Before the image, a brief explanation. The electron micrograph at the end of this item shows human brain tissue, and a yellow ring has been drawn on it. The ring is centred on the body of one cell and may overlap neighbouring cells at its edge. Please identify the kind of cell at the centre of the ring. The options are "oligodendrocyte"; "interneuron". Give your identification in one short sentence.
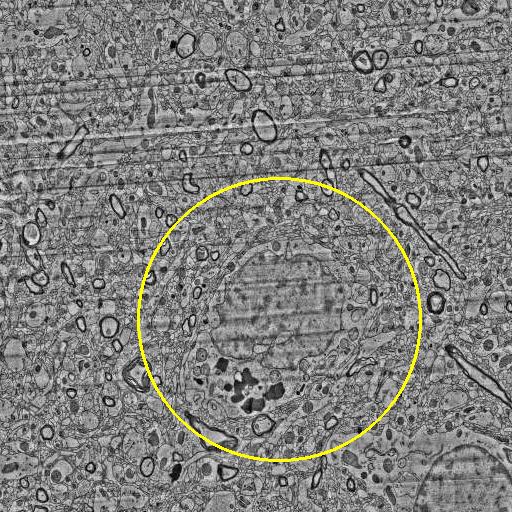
The ring has been placed around an interneuron.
